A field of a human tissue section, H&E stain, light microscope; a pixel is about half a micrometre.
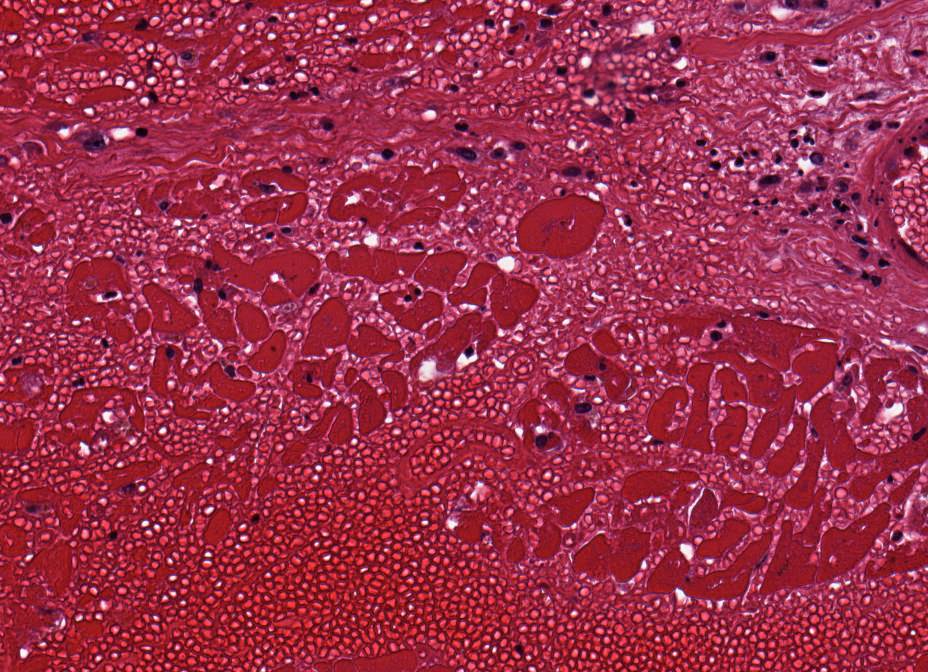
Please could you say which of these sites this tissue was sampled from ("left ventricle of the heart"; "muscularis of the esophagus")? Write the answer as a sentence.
The site this tissue was sampled from is the left ventricle of the heart.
